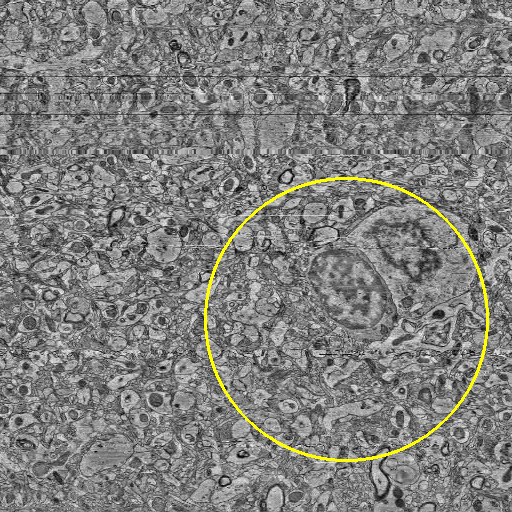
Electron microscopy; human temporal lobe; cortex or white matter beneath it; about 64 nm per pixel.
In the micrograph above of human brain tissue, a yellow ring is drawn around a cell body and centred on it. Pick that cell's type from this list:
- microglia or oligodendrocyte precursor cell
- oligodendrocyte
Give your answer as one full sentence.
Going by the list, an oligodendrocyte is the cell on which the yellow ring is centred.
